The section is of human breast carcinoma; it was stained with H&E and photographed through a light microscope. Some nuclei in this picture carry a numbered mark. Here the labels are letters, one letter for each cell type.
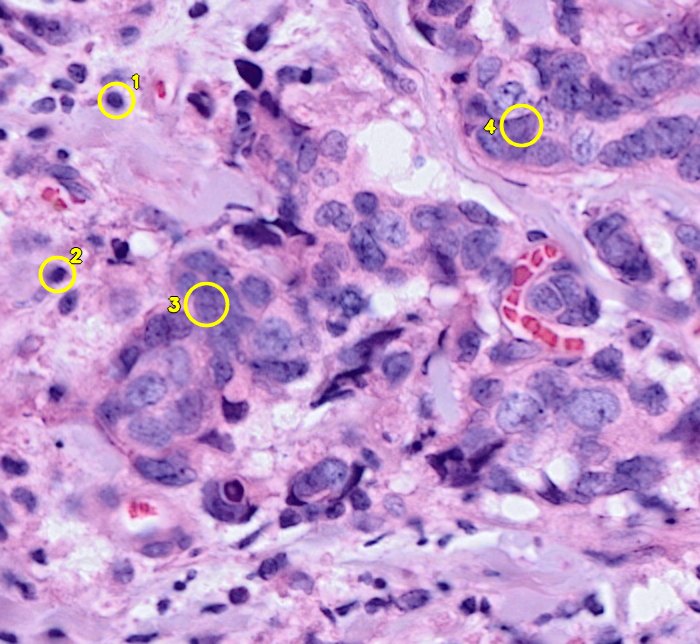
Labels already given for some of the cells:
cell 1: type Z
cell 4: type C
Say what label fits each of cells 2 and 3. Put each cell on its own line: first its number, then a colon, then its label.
2: type Z
3: type C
